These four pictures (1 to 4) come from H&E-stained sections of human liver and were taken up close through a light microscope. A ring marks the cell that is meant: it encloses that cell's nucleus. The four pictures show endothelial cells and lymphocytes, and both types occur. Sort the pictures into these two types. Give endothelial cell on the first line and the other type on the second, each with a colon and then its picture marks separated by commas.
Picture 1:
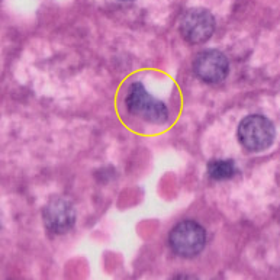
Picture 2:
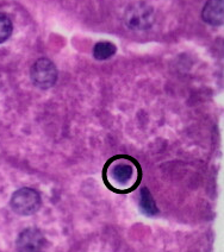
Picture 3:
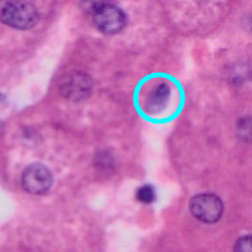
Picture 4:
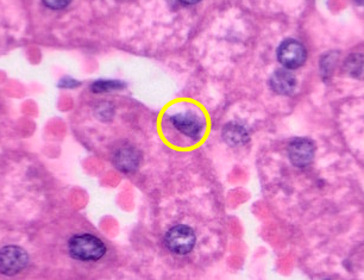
endothelial cell: 1, 3, 4
lymphocyte: 2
